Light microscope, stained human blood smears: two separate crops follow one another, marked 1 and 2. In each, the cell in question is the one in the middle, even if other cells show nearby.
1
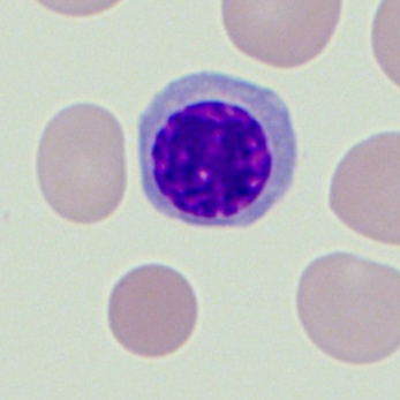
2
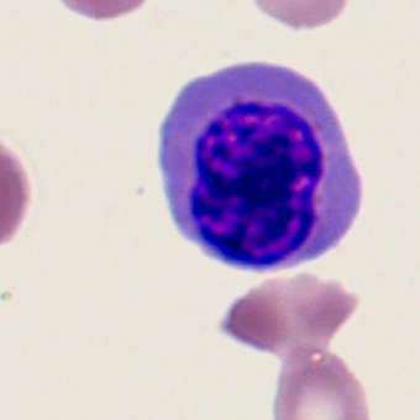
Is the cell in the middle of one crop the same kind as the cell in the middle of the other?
yes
